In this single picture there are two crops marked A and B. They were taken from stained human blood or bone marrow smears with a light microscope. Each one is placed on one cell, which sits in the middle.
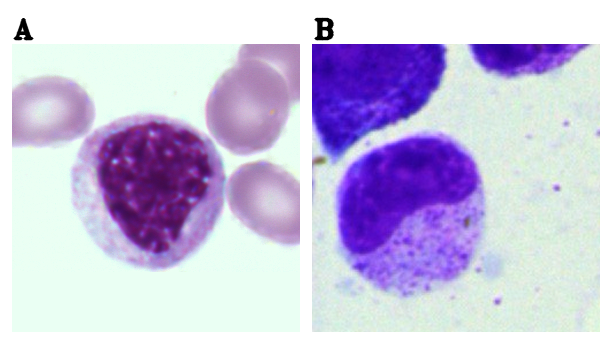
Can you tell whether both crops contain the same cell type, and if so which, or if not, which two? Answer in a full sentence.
Yes, both crops in this set show metamyelocytes.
